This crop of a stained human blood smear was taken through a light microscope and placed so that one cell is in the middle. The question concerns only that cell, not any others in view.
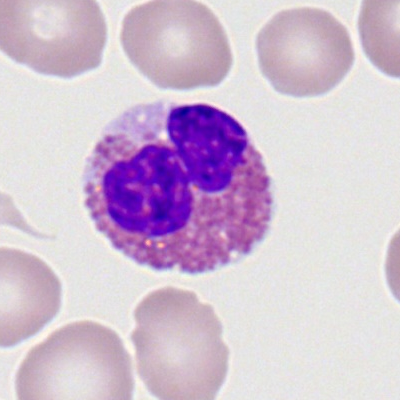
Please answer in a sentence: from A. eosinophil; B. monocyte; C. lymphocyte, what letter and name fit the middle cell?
The correct response is option A, naming the cell in the middle as an eosinophil.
